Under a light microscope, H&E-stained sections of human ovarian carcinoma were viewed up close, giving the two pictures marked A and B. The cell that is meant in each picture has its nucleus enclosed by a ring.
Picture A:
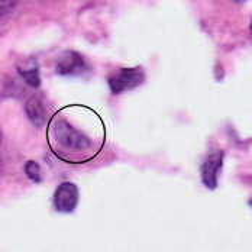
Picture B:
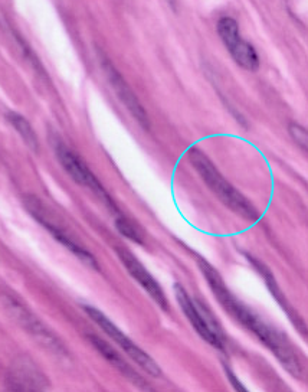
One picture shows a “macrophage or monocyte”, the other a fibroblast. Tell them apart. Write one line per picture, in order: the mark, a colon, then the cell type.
A: macrophage or monocyte
B: fibroblast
